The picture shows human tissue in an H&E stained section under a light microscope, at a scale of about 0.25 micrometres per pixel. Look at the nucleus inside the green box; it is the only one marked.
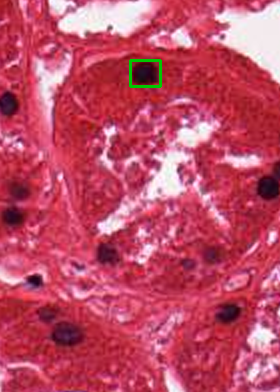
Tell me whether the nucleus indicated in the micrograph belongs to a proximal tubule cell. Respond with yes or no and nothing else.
yes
